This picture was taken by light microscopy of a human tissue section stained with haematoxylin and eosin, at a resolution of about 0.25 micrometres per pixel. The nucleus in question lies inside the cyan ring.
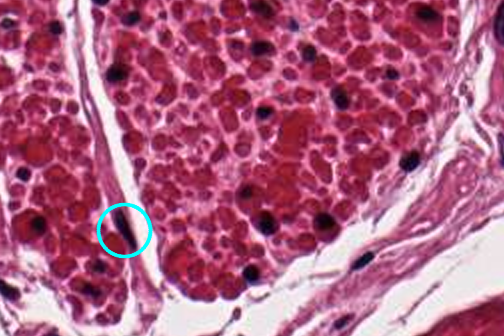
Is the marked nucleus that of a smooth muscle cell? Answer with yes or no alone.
no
